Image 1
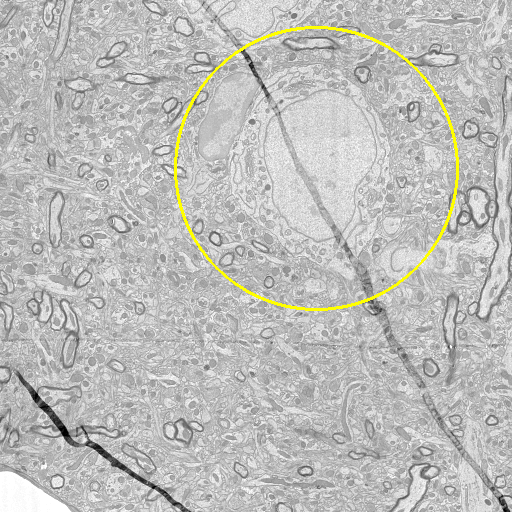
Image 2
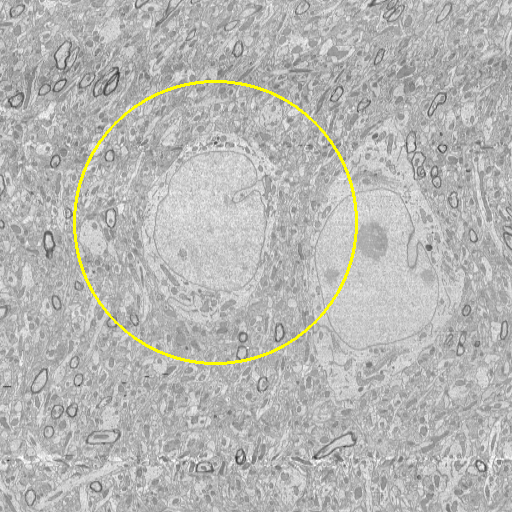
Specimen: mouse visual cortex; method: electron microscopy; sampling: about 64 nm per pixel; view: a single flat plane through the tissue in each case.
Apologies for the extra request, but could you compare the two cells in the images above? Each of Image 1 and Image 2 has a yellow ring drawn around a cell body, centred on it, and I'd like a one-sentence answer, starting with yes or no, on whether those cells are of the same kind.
Yes, both cells are of the same kind.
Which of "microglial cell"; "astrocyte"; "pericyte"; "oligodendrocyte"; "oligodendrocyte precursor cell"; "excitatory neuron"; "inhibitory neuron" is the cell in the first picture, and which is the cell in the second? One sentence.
The cell at the ring centre is an inhibitory neuron in both pictures.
